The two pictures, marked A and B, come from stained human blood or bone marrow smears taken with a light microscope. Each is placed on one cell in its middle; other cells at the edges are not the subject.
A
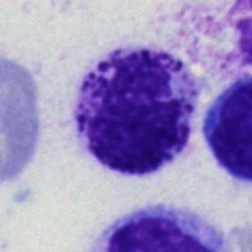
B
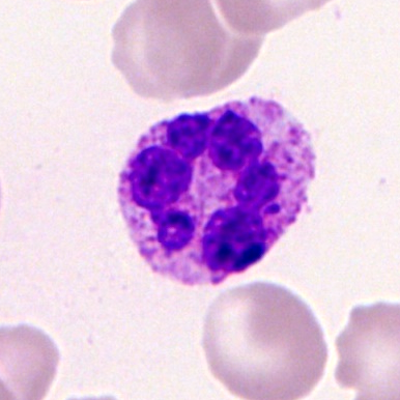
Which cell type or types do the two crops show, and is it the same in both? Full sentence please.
Yes, these two crops both show basophils.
